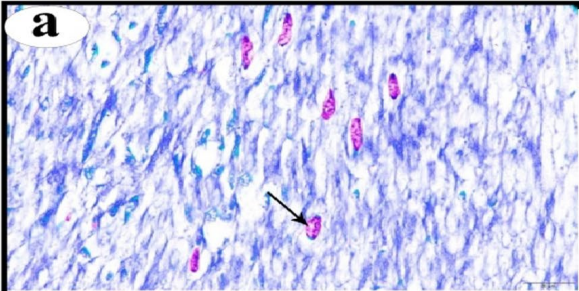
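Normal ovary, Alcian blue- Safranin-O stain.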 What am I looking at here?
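The stromal cells and their fibres stain blue to purple and run roughly in one direction. Among them lie several oval to elongated cells whose cytoplasm is packed with magenta-red granules. Small blue-green patches are scattered between the stromal cells. The magenta cells stand apart singly rather than in clusters.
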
